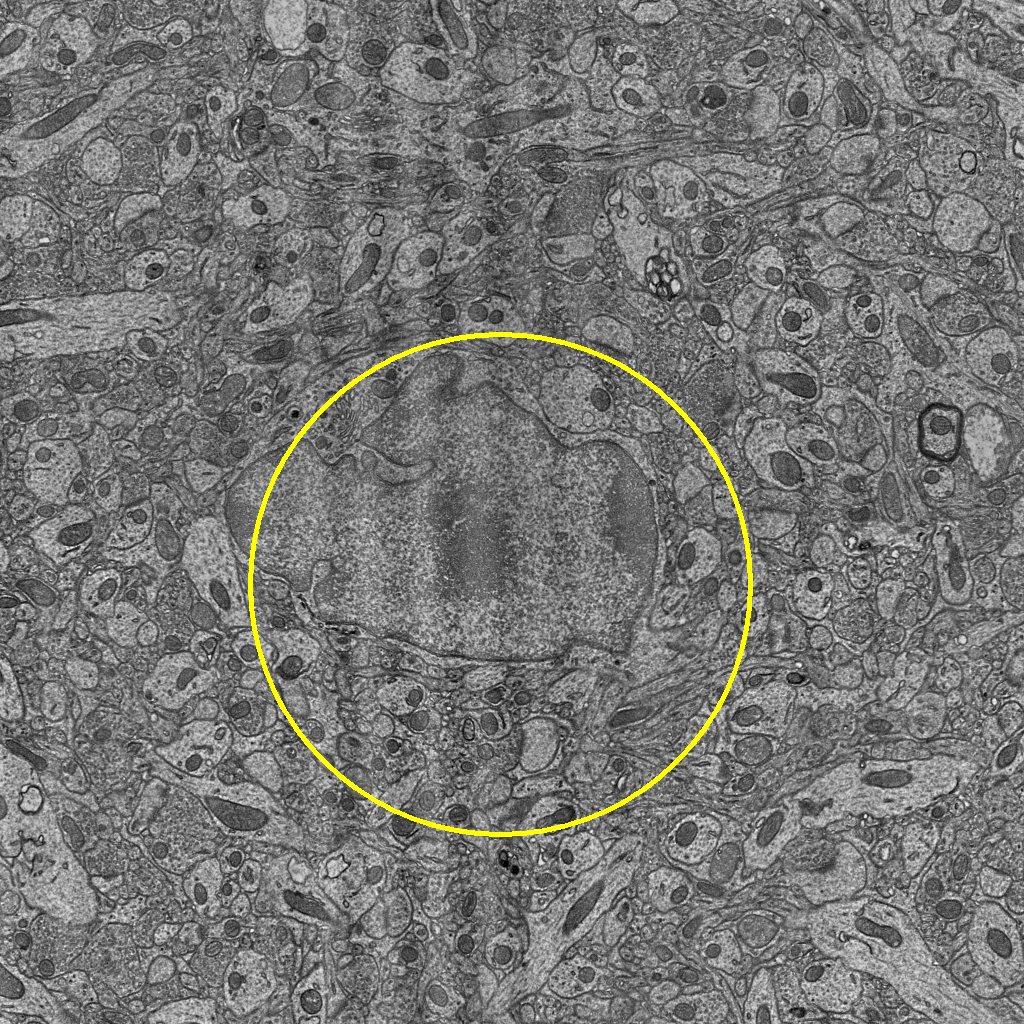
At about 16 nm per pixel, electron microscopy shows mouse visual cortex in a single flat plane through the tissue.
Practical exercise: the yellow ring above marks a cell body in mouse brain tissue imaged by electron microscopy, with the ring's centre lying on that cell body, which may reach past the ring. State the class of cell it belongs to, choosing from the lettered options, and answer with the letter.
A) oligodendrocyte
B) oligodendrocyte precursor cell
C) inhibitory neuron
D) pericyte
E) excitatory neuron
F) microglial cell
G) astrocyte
B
